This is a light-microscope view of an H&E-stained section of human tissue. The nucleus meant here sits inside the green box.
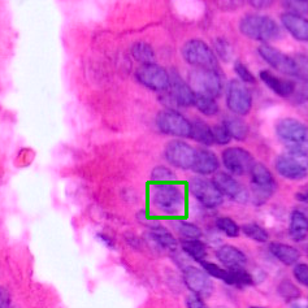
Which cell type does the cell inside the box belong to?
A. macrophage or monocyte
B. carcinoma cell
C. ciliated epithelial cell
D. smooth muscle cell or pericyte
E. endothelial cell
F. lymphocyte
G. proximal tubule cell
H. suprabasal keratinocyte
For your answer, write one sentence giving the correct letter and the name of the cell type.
Option C correctly labels the cell inside the box as a ciliated epithelial cell.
